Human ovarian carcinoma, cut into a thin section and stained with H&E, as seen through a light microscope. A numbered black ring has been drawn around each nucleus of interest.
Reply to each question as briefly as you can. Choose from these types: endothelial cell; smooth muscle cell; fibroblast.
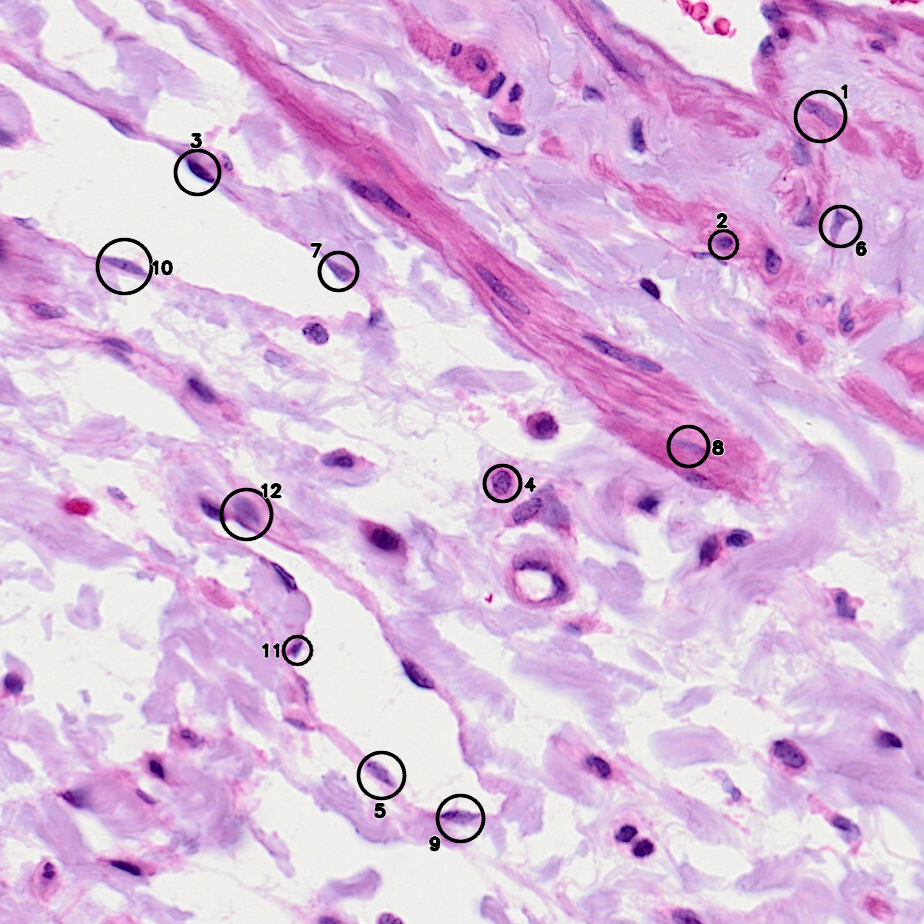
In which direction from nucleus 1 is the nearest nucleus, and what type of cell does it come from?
an endothelial cell, below and to the left of nucleus 1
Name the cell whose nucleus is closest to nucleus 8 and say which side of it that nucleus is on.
a smooth muscle cell, below nucleus 8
